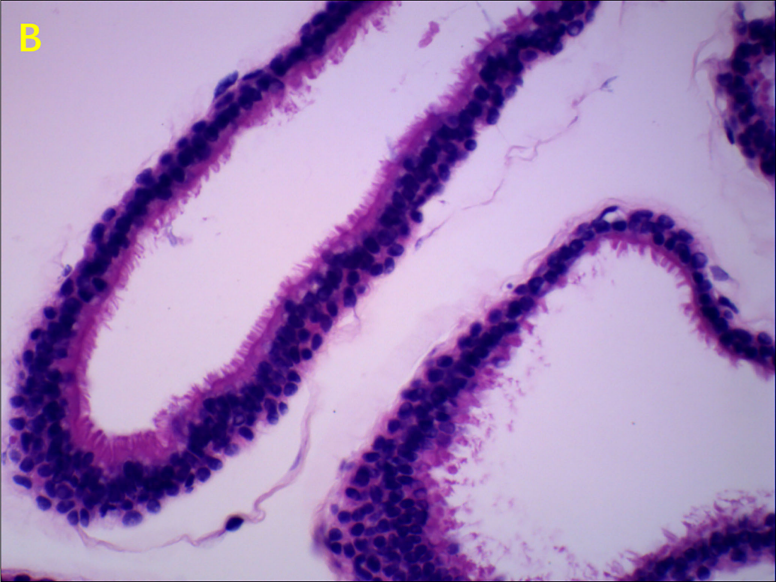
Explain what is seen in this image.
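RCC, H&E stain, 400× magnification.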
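Here you are looking at a ciliated columnar epithelium lining the folded walls of a cyst. Each band is a layer of tall cells. Their oval, dark purple nuclei are crowded toward the base, lying at slightly different heights so that they look like more than one row. Above the nuclei is a band of pink cytoplasm, and along the free surface facing the clear lumen runs a fringe of fine hair-like cilia. The bands curve and fold back on themselves, with empty pale space on either side. Only wisps of delicate pink strands lie between neighbouring folds.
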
